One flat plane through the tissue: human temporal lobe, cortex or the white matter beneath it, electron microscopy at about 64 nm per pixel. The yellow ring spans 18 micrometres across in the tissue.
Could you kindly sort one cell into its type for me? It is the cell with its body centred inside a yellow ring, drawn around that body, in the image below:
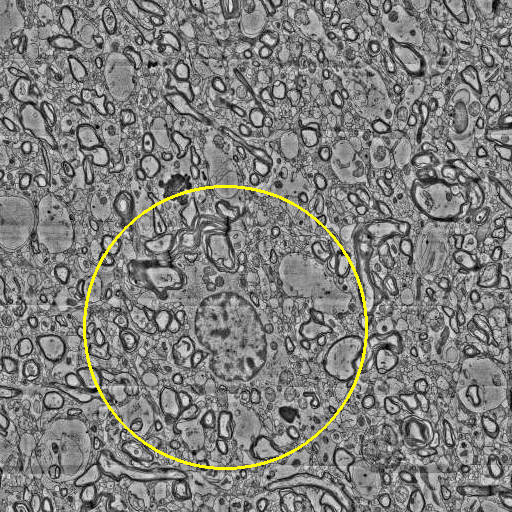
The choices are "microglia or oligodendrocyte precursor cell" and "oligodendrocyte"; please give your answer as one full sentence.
The cell whose body lies centred in the yellow ring here is an oligodendrocyte.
